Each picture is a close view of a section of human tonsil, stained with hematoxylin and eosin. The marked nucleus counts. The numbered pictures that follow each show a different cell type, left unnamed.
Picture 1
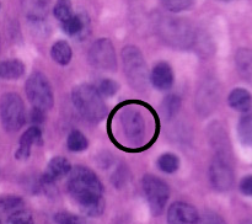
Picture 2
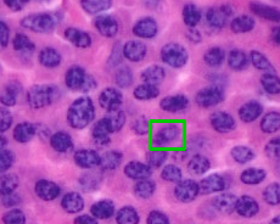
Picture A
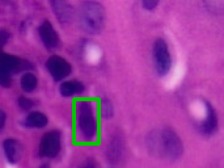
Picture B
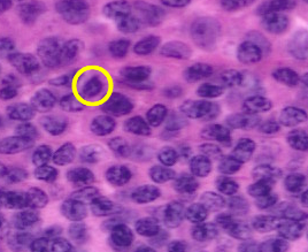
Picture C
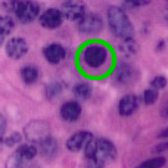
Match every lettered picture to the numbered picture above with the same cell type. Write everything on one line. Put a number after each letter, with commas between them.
A 1, B 2, C 2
